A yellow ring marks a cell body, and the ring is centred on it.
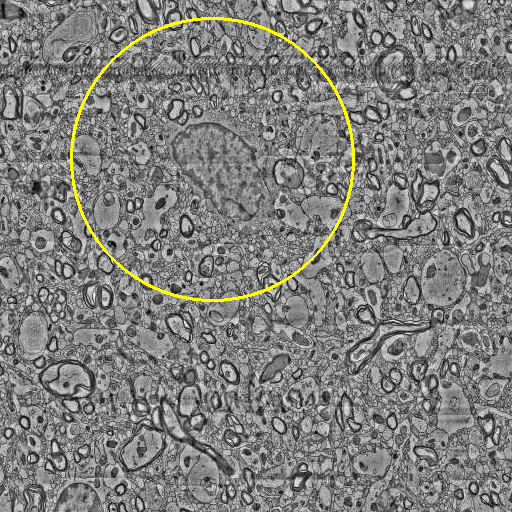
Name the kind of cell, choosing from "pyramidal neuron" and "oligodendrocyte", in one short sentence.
The marked cell body belongs to an oligodendrocyte.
